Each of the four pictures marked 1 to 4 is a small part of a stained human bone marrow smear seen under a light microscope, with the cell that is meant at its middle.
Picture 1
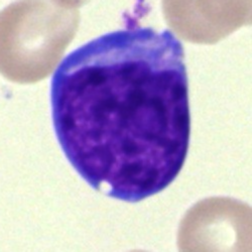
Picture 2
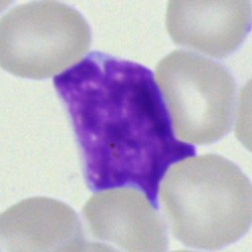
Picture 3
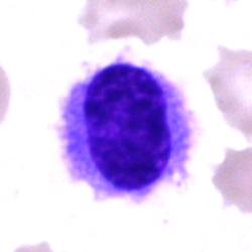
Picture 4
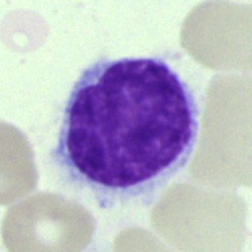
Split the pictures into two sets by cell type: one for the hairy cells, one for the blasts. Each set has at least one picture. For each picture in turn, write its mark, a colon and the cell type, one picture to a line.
1: blast
2: blast
3: hairy cell
4: hairy cell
